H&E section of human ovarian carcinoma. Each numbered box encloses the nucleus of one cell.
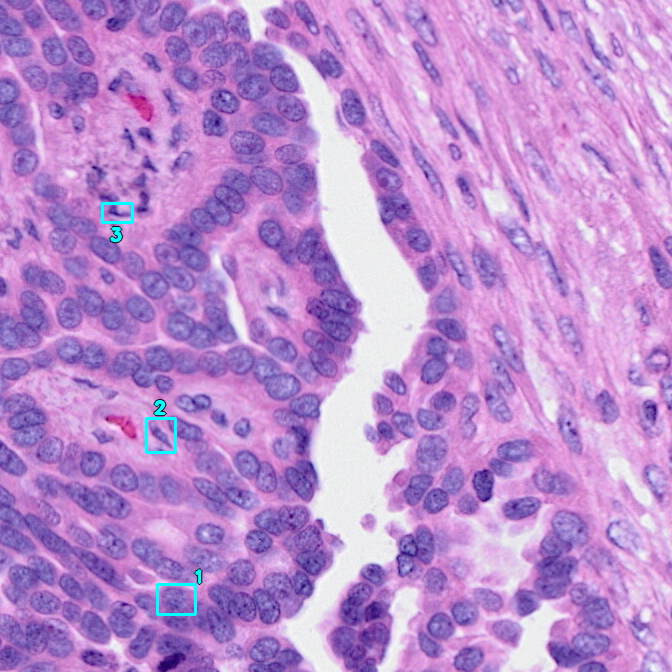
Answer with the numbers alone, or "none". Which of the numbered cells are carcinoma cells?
1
